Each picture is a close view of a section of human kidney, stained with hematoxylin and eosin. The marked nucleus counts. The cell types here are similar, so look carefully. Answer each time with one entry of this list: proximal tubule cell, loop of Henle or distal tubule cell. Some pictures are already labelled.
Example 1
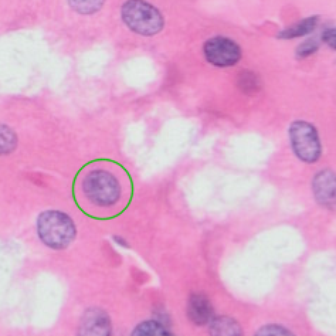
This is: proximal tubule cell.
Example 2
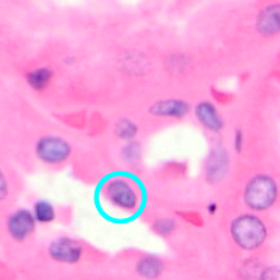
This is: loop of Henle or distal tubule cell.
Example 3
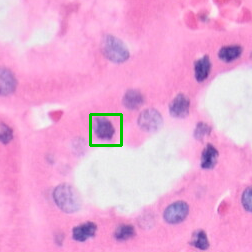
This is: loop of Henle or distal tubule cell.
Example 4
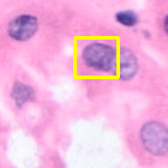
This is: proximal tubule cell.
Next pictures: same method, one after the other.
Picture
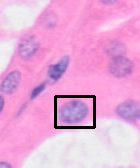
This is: loop of Henle or distal tubule cell.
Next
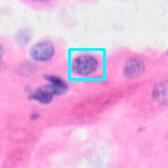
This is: loop of Henle or distal tubule cell.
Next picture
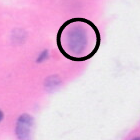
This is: loop of Henle or distal tubule cell.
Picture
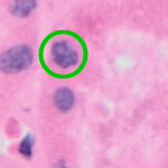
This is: proximal tubule cell.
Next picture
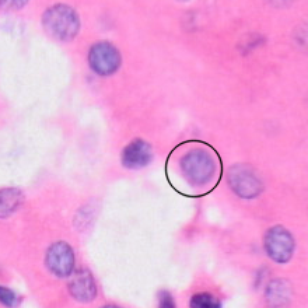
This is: loop of Henle or distal tubule cell.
